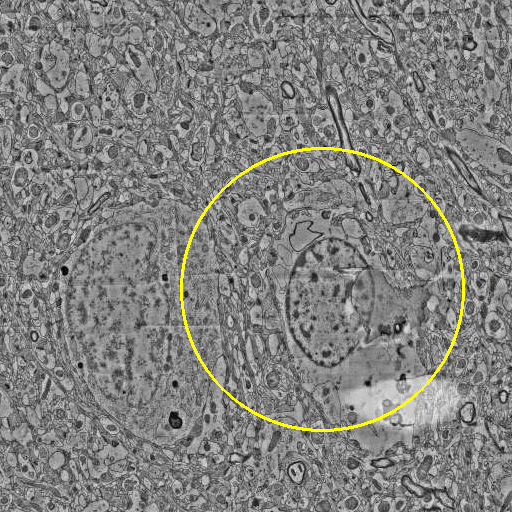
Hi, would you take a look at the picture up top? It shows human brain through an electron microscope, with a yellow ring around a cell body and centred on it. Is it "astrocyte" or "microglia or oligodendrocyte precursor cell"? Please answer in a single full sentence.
The best fit for the cell in the middle of the ring is an astrocyte, I reckon.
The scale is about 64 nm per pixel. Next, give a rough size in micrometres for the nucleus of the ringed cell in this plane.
The nucleus has a long axis of about 8 micrometres and a short axis of about 6 micrometres in this plane.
